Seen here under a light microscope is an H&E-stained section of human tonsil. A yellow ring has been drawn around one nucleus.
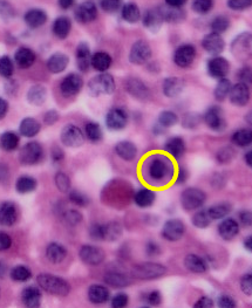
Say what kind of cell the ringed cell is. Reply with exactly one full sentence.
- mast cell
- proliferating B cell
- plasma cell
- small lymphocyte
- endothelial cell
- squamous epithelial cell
With respect to cell type, the ringed cell is a plasma cell.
